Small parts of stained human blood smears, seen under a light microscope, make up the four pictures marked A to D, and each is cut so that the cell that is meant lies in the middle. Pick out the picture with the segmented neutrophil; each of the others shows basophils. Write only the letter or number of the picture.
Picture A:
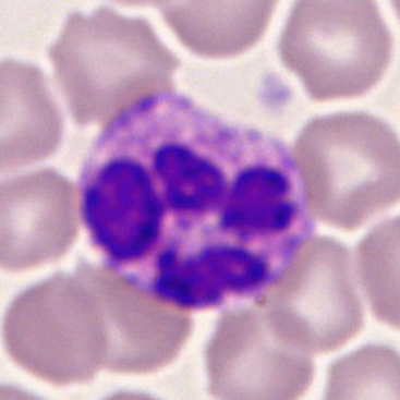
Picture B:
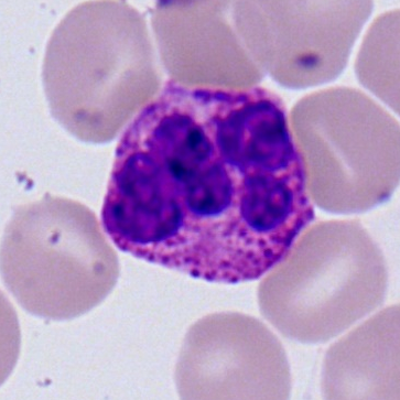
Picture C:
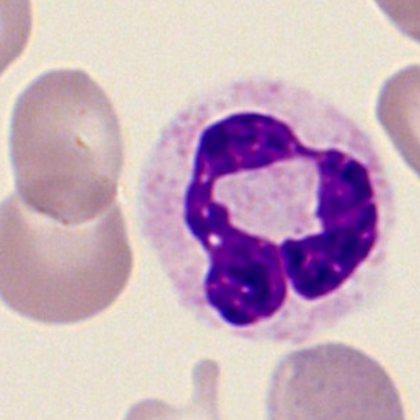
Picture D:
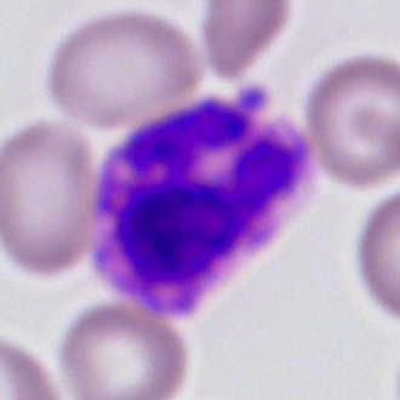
C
